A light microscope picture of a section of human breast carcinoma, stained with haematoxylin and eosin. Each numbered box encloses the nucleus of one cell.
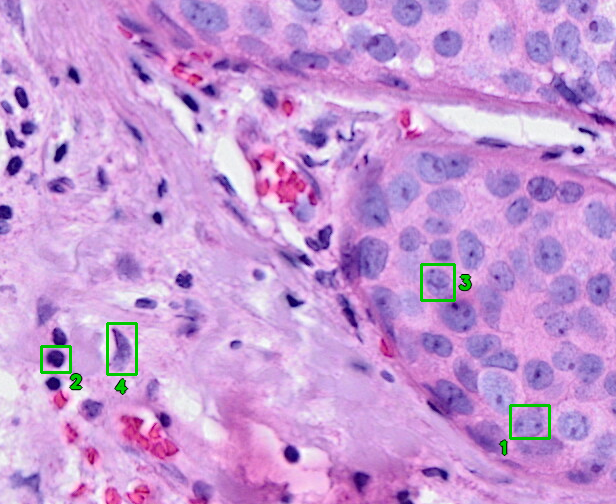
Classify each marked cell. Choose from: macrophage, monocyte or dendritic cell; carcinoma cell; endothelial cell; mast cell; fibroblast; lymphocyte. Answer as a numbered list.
1. carcinoma cell
2. lymphocyte
3. carcinoma cell
4. fibroblast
